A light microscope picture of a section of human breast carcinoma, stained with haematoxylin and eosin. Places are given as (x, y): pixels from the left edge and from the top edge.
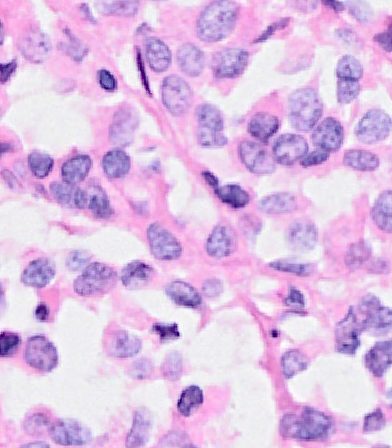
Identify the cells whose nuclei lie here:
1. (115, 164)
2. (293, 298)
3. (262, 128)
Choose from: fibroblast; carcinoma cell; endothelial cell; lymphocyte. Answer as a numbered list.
1. carcinoma cell
2. endothelial cell
3. carcinoma cell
